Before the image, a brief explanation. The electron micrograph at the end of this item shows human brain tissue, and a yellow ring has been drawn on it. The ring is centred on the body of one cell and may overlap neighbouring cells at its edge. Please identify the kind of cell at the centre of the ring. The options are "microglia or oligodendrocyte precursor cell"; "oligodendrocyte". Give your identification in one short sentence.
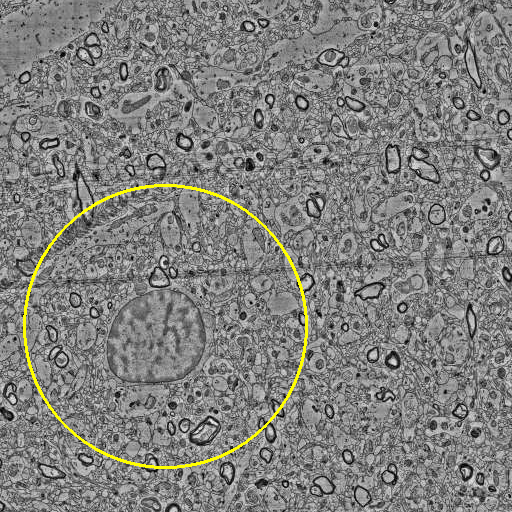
The ring has been placed around an oligodendrocyte.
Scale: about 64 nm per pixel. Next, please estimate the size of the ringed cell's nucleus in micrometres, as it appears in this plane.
In this plane, approximately 7 by 6 micrometers.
